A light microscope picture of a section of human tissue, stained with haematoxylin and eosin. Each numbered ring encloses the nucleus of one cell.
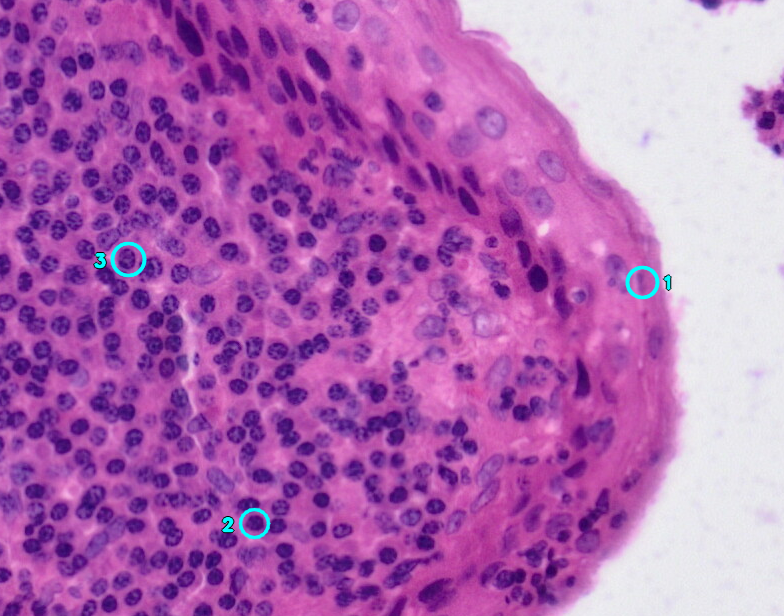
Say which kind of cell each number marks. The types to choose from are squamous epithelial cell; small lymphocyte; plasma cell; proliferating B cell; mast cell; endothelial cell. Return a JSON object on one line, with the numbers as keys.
{"1": "squamous epithelial cell", "2": "plasma cell", "3": "plasma cell"}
